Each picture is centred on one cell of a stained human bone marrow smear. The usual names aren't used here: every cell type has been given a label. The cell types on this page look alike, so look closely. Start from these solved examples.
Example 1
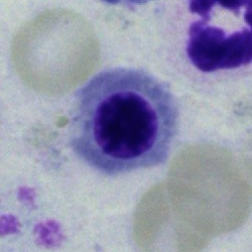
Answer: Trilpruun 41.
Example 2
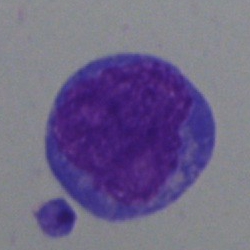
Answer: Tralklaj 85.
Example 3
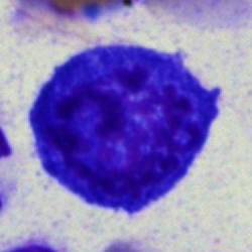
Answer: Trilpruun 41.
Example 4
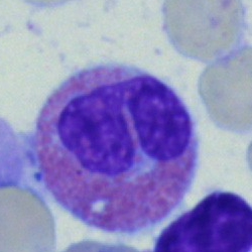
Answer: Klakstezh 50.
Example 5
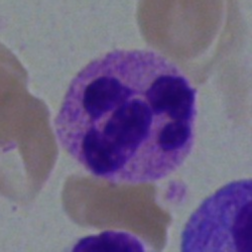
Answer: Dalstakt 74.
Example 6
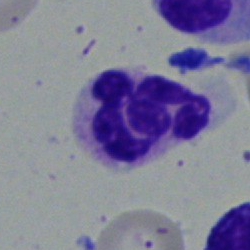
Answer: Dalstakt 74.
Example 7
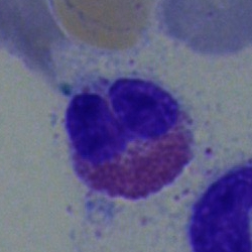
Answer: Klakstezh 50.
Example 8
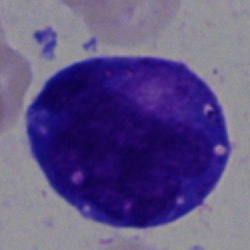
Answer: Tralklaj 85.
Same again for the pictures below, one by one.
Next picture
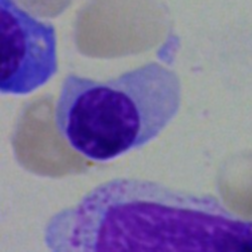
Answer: Trilpruun 41.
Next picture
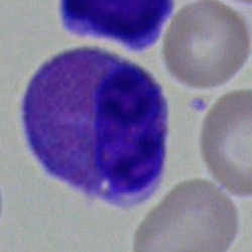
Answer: Klakstezh 50.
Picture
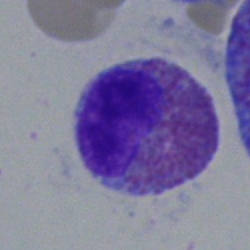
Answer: Klakstezh 50.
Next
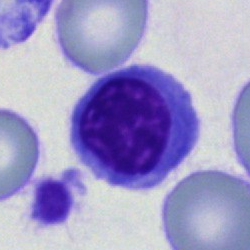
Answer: Trilpruun 41.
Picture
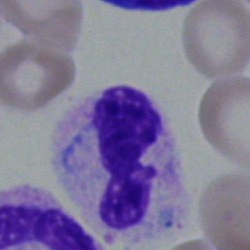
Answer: Dalstakt 74.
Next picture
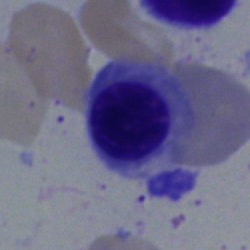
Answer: Trilpruun 41.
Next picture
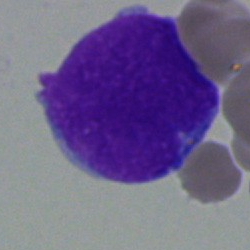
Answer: Tralklaj 85.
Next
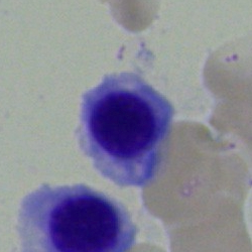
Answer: Trilpruun 41.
